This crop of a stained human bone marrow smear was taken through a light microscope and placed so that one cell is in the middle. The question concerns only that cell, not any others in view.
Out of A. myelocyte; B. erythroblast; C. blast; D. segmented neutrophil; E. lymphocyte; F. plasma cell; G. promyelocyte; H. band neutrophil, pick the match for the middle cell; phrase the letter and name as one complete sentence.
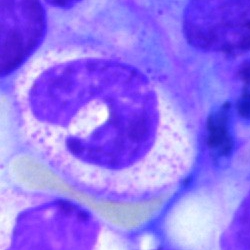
What option H states is correct, the central cell being a band neutrophil.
